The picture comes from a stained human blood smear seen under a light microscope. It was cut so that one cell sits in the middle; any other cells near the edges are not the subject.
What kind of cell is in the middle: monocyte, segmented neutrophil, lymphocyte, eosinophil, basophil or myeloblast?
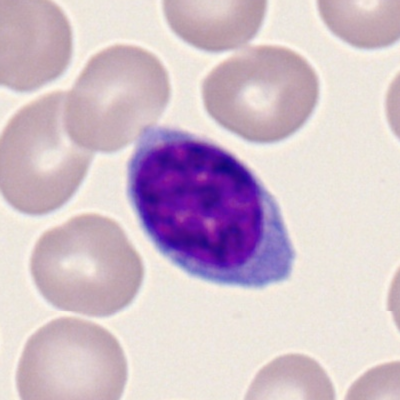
lymphocyte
